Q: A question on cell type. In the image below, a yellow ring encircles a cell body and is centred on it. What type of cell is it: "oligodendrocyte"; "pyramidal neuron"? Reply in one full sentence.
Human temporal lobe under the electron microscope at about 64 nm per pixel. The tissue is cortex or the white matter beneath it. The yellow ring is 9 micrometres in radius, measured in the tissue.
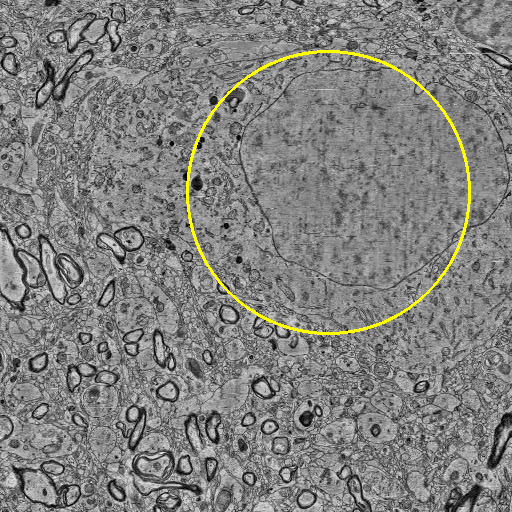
It is a pyramidal neuron whose cell body sits at the centre of the yellow ring in the image.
